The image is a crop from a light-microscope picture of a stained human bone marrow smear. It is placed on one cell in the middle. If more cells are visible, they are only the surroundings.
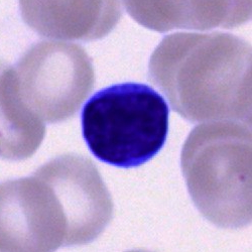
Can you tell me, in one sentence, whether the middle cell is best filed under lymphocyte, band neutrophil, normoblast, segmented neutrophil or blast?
As for the cell in the middle, it is a lymphocyte.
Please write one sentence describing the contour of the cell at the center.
You can see a smooth boundary, with no projections sticking out.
